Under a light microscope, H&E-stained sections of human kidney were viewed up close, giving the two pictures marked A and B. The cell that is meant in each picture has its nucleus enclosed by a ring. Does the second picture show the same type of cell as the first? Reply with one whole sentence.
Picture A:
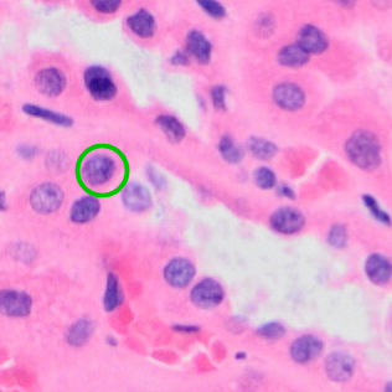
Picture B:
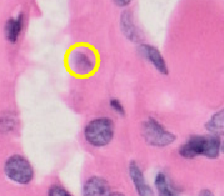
Yes, both cells are “loop of Henle or distal tubule cells”.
